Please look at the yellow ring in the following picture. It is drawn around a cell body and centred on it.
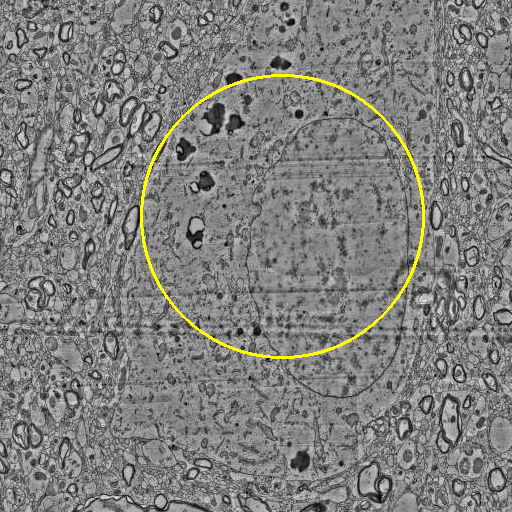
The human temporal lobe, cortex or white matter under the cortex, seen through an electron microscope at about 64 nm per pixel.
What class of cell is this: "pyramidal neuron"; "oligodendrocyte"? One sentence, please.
The ring surrounds the cell body of a pyramidal neuron.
